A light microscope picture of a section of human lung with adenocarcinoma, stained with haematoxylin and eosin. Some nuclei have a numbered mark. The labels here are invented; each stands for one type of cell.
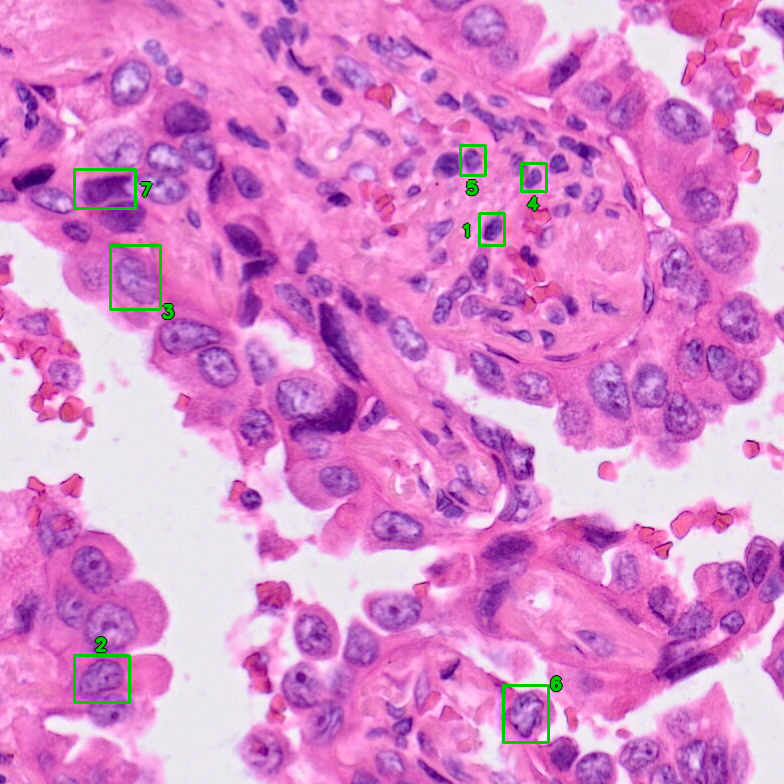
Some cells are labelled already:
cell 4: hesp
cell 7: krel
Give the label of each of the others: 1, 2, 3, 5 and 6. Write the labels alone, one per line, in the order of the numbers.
hesp
krel
krel
hesp
krel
